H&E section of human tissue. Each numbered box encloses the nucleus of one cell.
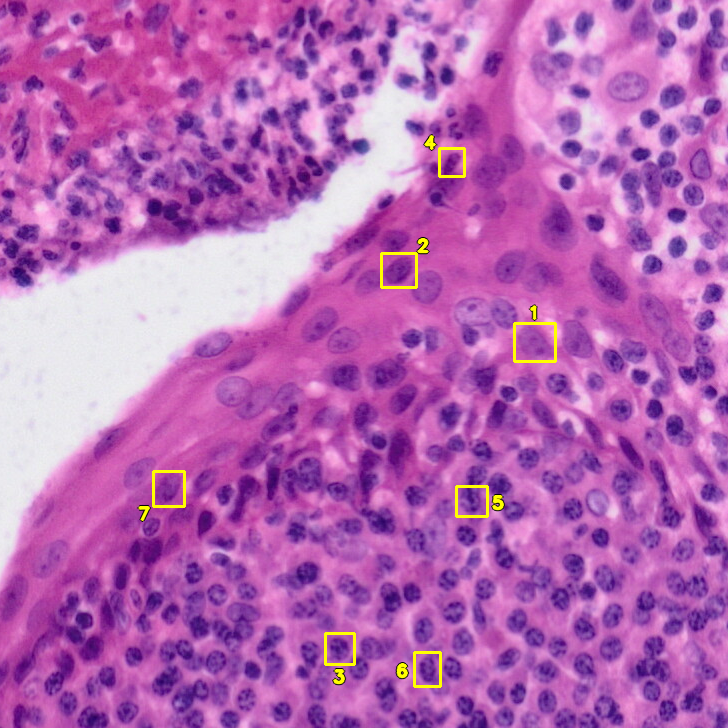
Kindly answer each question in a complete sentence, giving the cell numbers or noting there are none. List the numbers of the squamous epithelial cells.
The cells tagged 1, 2, 4 and 7 are squamous epithelial cells in this tissue section.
